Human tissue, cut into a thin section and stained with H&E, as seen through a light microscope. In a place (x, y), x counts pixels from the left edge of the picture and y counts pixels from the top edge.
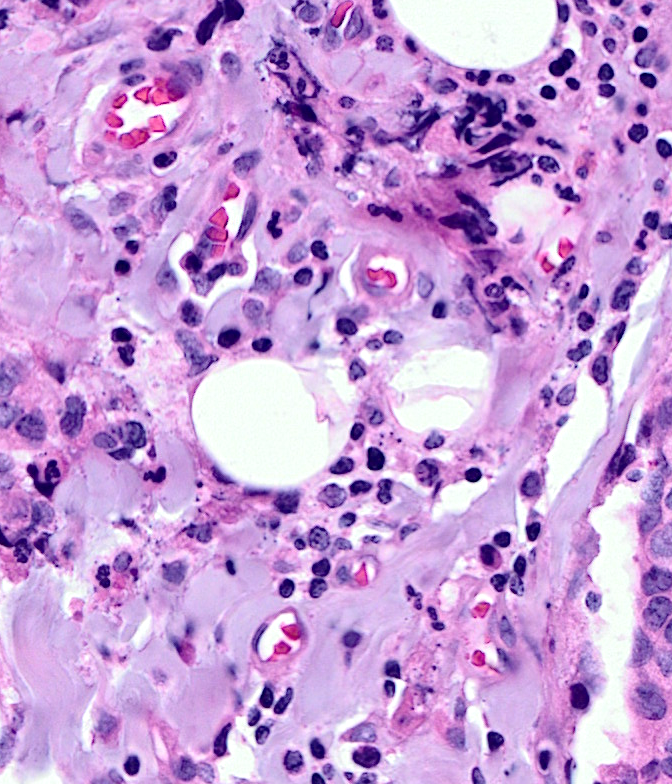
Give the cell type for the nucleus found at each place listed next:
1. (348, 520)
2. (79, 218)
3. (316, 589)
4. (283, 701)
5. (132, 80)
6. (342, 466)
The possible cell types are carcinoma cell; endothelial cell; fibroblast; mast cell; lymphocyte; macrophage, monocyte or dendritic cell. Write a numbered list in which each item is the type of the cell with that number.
1. lymphocyte
2. fibroblast
3. lymphocyte
4. lymphocyte
5. endothelial cell
6. lymphocyte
